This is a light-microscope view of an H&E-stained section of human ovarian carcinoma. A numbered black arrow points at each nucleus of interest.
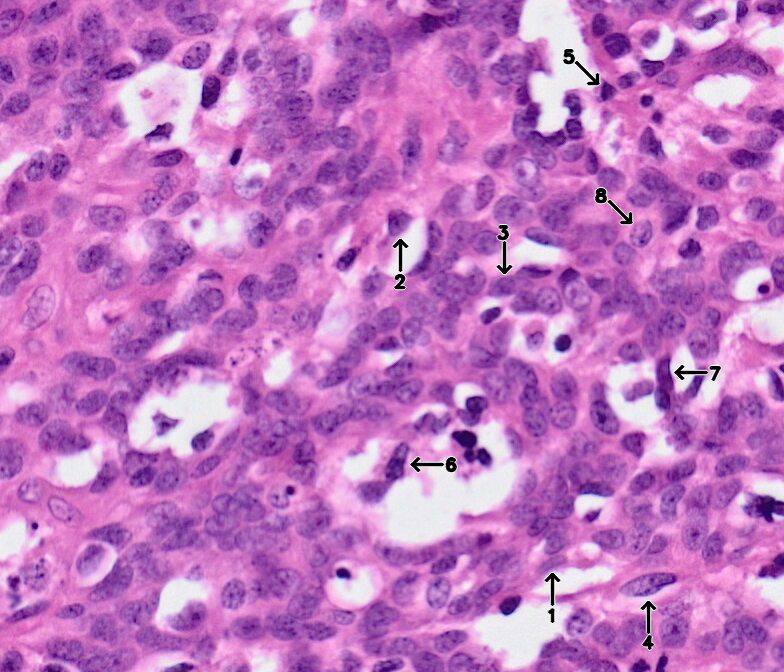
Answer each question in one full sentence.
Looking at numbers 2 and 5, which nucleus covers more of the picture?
Number 2 is larger; its area is about 2.5 times that of number 5.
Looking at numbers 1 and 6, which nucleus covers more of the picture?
Nucleus 6 is the larger one, covering about 2.5 times the area of nucleus 1.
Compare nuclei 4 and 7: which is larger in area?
Nucleus 4 is the larger one, covering about 2 times the area of nucleus 7.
